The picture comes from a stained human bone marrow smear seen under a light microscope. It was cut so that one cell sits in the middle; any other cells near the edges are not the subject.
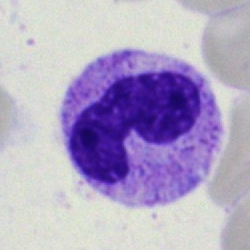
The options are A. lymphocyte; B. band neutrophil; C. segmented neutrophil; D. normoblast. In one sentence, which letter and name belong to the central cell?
Of the options given, B is correct, the central cell being a band neutrophil.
